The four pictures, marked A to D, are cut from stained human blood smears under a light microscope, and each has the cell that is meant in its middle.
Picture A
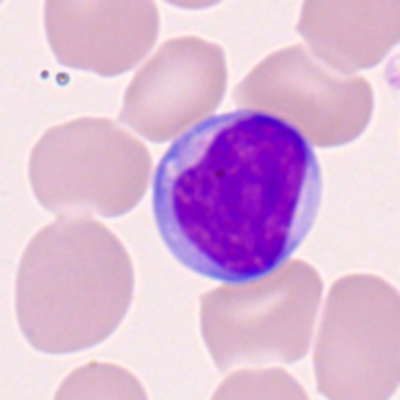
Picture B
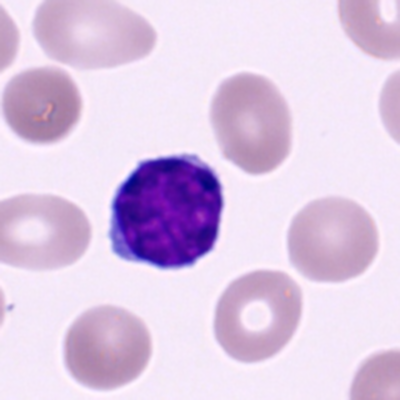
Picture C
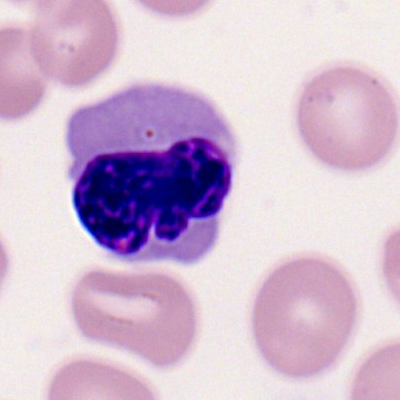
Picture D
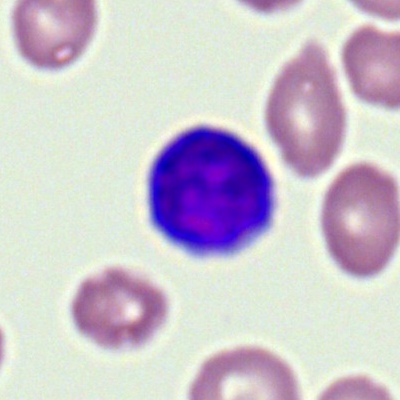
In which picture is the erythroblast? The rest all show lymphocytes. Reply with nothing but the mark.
C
